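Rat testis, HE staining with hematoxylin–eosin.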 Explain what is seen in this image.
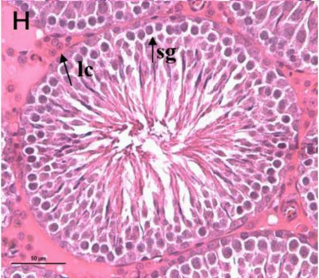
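A seminiferous tubule in cross-section shows a many-layered germinal epithelium of cells with round purple nuclei arranged from the basement membrane to the lumen. Small flattened and round cells line the periphery, while the centre is filled with pink tails arranged radially. Clusters of interstitial cells with pink cytoplasm lie in the spaces outside the tubule.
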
